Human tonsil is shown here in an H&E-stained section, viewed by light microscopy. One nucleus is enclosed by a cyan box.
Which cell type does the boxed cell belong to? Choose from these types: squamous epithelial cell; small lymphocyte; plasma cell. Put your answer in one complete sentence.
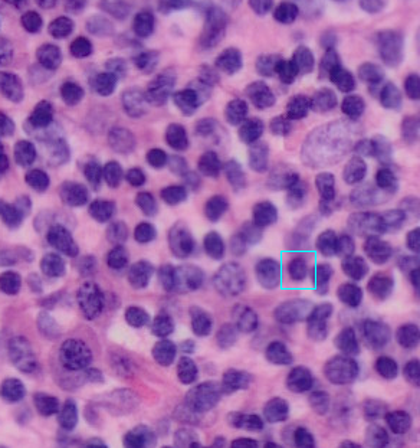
Among the cells in this section, the boxed cell is a small lymphocyte.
